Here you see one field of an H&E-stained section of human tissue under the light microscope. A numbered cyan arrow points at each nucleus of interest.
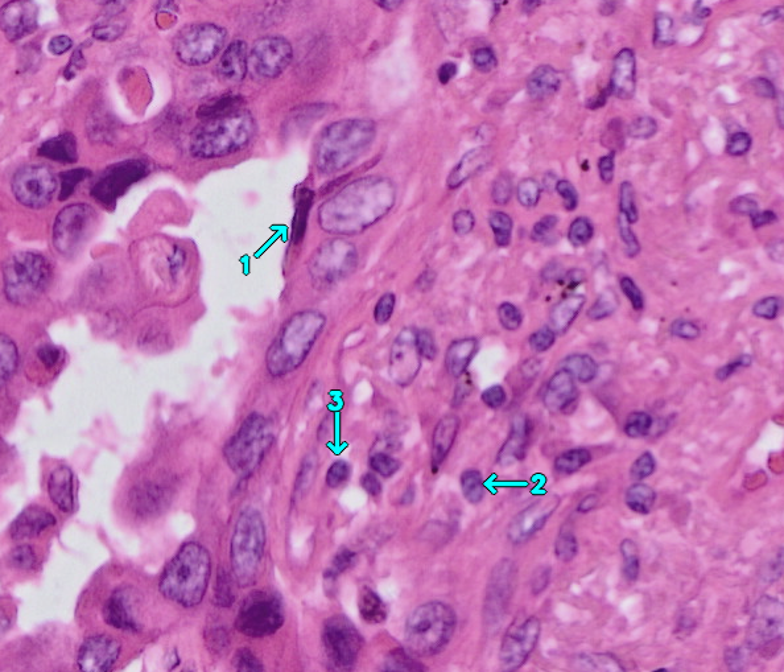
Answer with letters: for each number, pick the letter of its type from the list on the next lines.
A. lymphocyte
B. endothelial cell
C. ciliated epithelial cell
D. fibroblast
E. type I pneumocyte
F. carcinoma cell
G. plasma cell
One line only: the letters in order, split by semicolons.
F; A; A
